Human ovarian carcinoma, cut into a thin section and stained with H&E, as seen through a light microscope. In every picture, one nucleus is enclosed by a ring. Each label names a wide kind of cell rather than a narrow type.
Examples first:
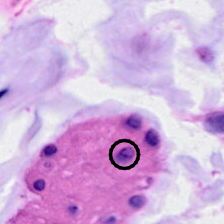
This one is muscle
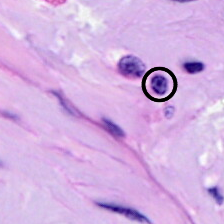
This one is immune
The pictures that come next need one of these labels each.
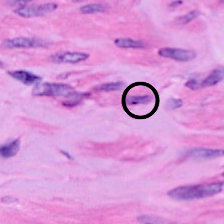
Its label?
muscle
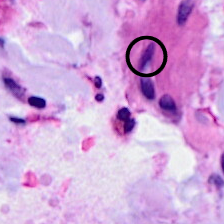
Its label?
muscle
